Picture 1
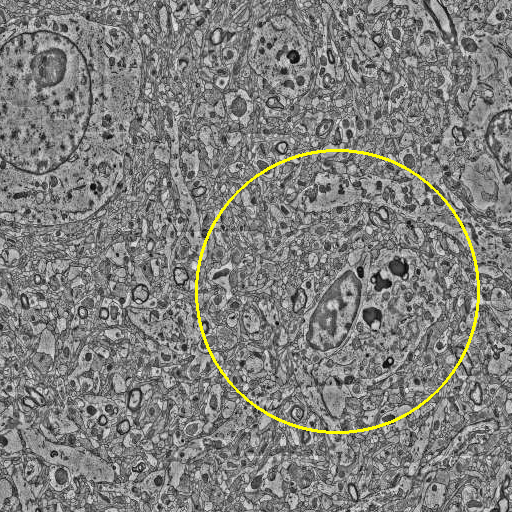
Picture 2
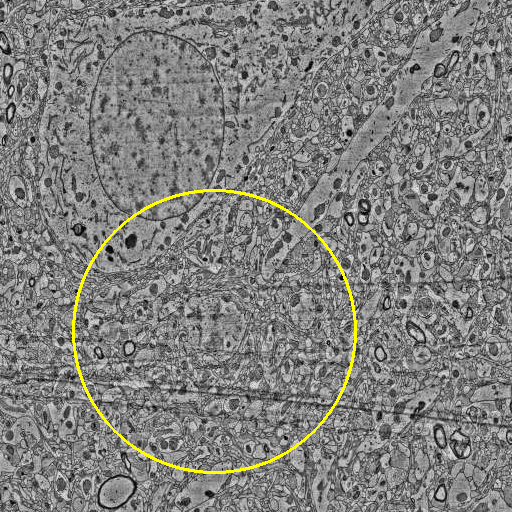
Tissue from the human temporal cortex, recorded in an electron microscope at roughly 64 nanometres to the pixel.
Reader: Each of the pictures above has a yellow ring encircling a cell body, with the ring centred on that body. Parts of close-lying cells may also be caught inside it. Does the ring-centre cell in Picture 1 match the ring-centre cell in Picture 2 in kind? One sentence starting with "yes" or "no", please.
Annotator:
Yes, Picture 1 and Picture 2 show ring-centre cells of a single kind.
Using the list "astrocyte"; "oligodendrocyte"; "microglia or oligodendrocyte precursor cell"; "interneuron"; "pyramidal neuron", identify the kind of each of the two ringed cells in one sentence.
Both the first and the second picture show a microglial cell or oligodendrocyte precursor cell in the ring.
